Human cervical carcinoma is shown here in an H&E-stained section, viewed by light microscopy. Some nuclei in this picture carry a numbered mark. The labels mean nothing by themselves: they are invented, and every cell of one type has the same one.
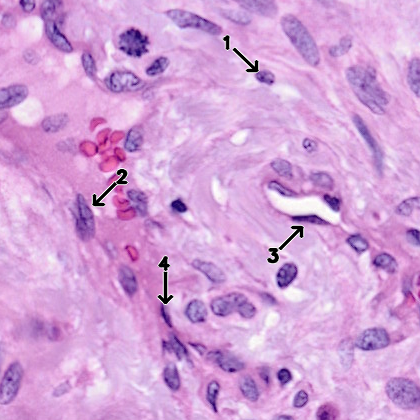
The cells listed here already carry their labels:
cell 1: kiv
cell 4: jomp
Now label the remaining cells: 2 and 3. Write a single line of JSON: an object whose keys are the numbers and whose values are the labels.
{"2": "jomp", "3": "jomp"}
